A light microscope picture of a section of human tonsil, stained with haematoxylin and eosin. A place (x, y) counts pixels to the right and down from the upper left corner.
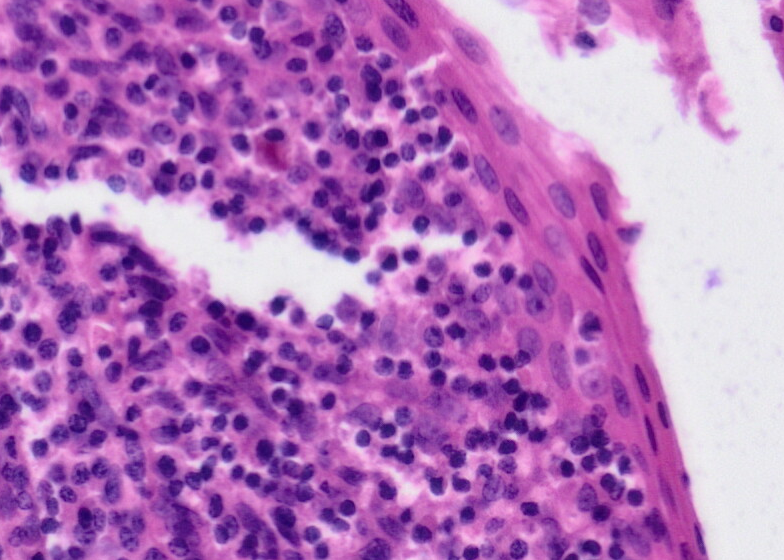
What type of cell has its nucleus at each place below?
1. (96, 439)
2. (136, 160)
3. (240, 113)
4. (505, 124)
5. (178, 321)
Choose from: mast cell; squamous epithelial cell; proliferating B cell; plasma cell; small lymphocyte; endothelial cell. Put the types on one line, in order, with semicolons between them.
plasma cell; plasma cell; squamous epithelial cell; squamous epithelial cell; plasma cell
